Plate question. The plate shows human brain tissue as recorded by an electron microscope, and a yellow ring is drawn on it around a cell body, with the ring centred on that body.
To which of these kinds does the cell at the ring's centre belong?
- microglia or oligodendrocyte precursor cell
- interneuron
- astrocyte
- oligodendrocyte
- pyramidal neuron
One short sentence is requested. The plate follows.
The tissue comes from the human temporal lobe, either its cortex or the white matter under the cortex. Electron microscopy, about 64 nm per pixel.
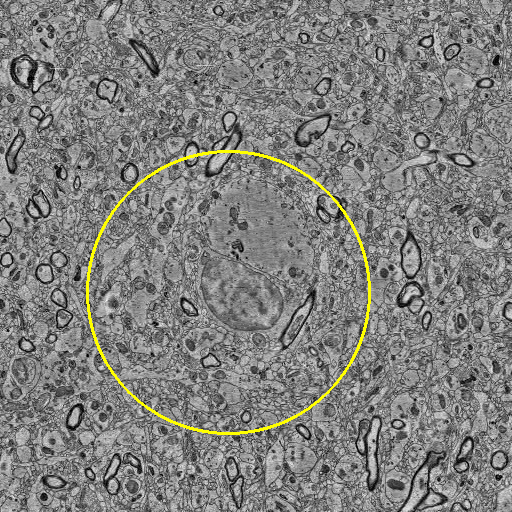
The cell at the ring's centre is an oligodendrocyte.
